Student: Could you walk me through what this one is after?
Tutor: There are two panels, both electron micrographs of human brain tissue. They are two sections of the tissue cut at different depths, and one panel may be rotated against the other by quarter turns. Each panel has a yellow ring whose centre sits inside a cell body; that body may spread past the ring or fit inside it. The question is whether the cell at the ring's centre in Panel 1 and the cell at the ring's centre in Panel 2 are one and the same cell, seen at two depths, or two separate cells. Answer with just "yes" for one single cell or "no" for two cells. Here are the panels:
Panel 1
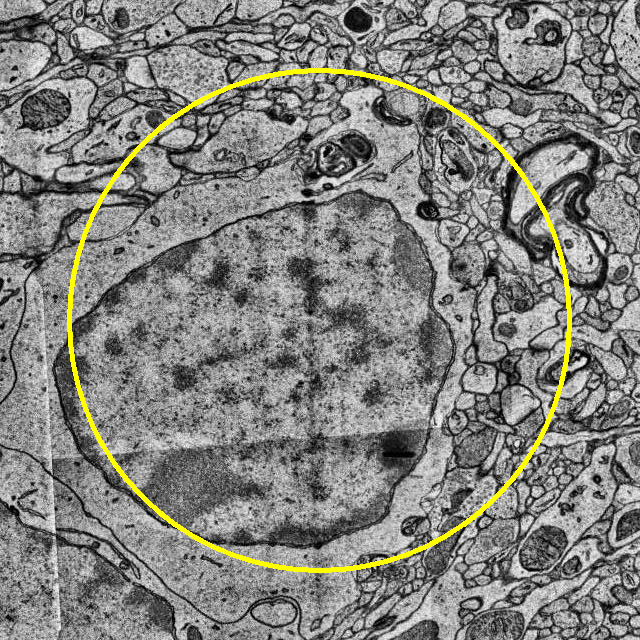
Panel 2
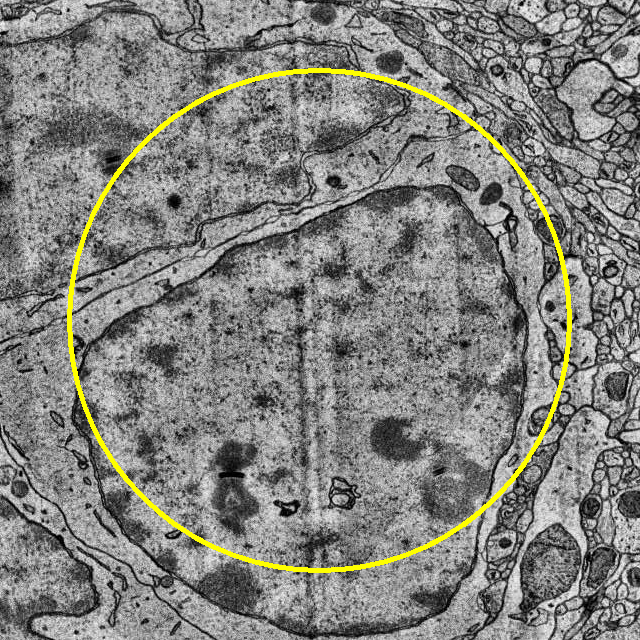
yes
